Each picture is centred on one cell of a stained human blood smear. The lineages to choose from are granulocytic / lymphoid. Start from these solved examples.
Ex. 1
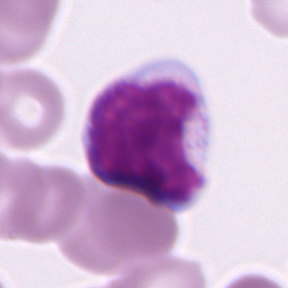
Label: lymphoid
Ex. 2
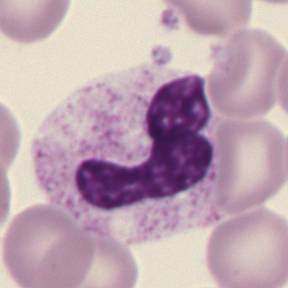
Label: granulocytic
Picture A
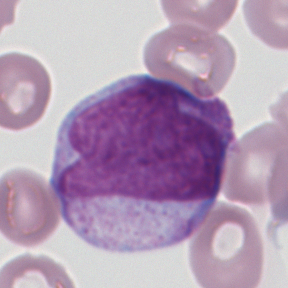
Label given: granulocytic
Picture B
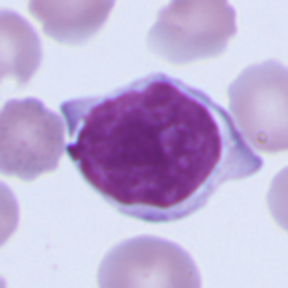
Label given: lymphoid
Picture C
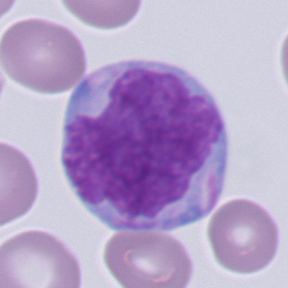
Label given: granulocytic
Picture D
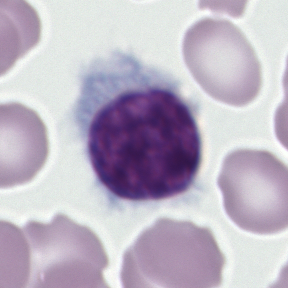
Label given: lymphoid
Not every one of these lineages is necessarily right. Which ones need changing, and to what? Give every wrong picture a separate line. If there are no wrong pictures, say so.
All labels are correct.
